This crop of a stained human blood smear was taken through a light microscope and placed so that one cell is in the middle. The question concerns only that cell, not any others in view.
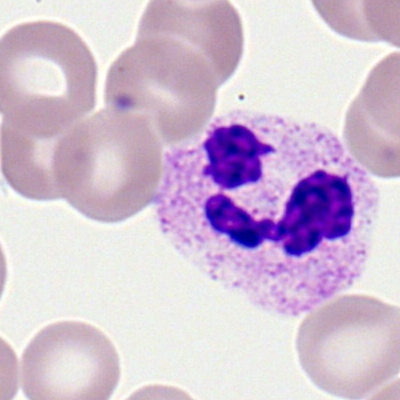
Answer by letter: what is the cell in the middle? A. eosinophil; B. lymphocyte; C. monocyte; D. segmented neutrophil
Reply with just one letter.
D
